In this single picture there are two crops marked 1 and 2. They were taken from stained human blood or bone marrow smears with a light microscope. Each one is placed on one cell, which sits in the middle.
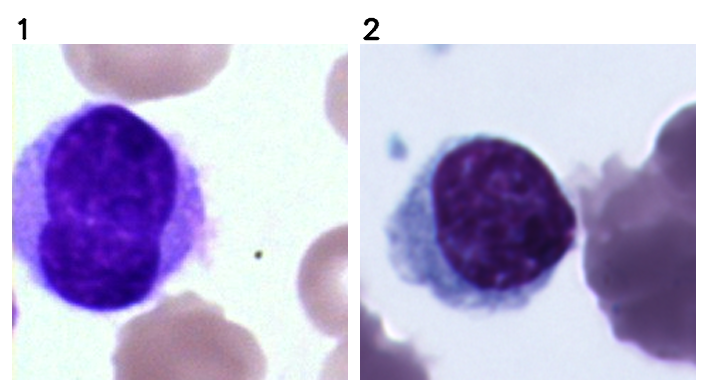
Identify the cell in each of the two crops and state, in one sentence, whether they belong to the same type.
Yes, the cells at the centre of the two crops are both hairy cells.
